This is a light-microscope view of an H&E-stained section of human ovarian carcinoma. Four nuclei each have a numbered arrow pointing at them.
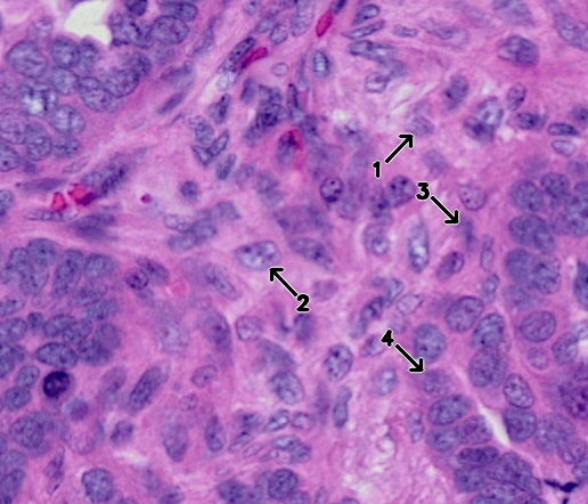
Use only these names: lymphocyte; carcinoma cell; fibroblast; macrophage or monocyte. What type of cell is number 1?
fibroblast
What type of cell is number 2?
fibroblast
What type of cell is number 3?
fibroblast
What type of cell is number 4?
carcinoma cell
